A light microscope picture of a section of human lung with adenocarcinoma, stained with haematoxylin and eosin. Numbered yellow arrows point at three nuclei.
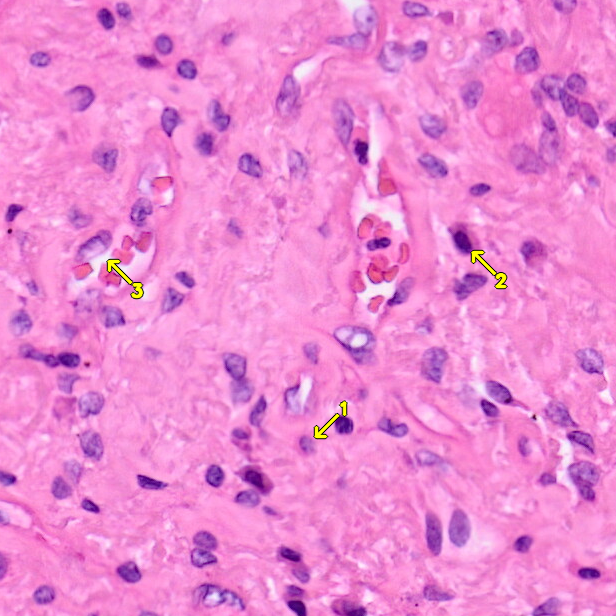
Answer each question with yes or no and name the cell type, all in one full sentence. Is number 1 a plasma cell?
No, the cell indicated by 1 is a mast cell instead of a plasma cell.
